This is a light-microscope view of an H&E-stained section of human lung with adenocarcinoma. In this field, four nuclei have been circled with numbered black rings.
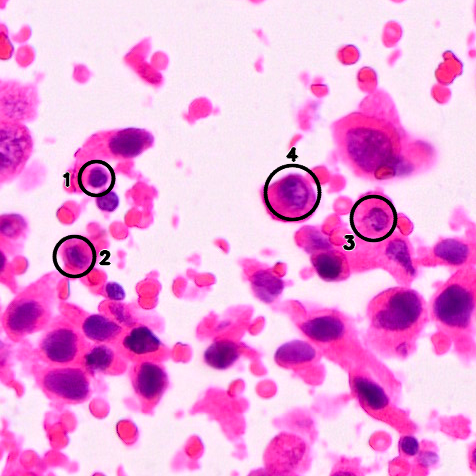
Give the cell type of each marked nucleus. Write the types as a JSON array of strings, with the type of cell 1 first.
["lymphocyte", "macrophage or monocyte", "macrophage or monocyte", "carcinoma cell"]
